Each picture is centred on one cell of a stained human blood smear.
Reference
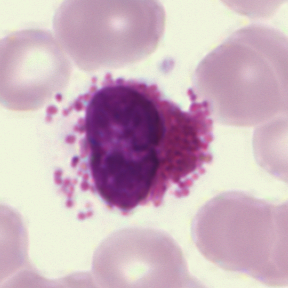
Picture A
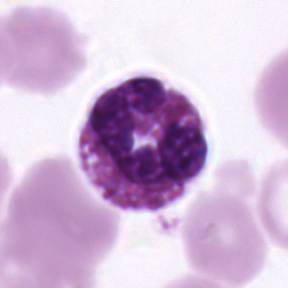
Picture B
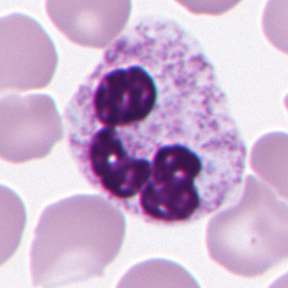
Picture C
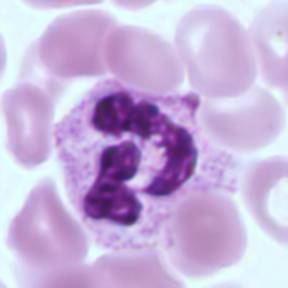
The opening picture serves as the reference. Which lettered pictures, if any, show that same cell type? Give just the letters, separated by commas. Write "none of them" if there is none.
A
